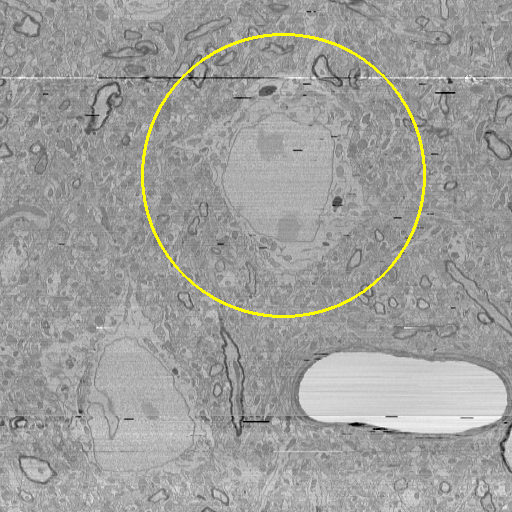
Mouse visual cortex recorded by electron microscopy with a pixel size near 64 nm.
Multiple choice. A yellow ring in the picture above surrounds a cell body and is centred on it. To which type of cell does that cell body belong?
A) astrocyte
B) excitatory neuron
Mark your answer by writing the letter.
B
